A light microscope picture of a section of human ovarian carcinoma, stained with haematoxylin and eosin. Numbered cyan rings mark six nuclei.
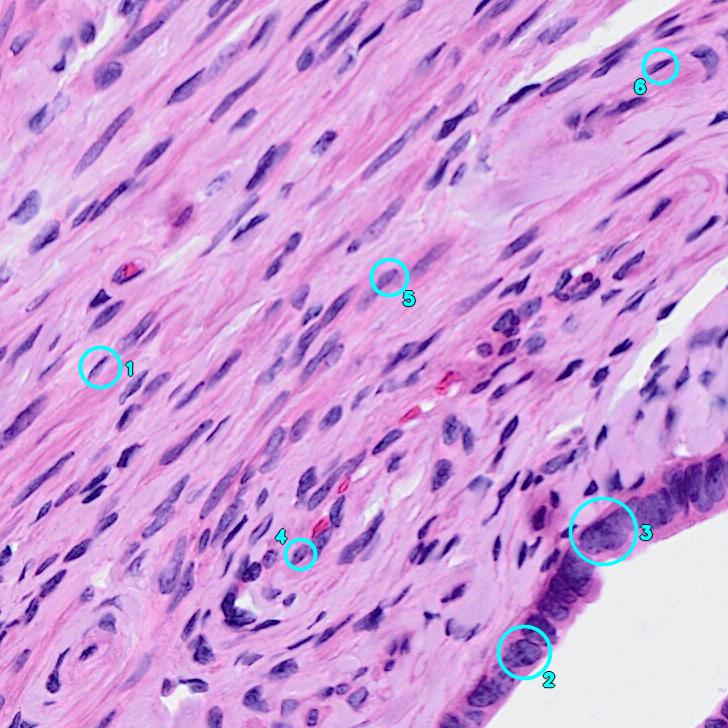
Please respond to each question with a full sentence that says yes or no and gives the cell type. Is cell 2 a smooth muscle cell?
No, the cell with the number 2 is a carcinoma cell, not a smooth muscle cell.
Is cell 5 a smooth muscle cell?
Yes, among the marked cells, the one with number 5 is a smooth muscle cell.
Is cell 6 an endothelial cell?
No. Cell number 6 is a smooth muscle cell, not an endothelial cell.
